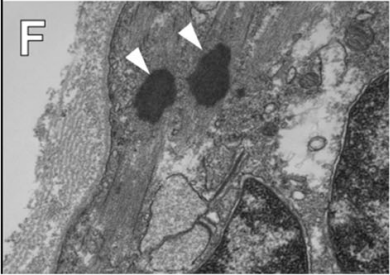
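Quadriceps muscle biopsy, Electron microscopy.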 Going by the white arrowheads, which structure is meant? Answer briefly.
Small rods.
